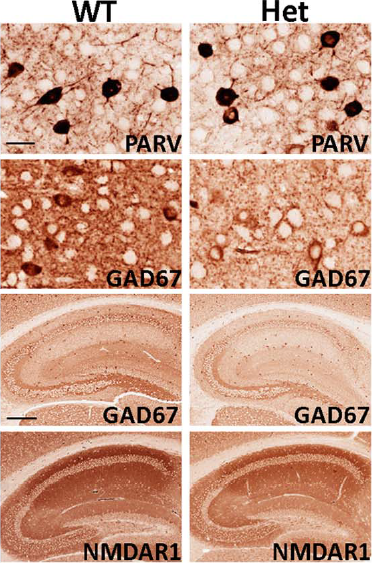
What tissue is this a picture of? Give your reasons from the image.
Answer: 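Hippocampus. The lower two rows show a low-magnification brain section with curved, interlocking C-shaped cell bands. The banded layers have the typical outline of the dentate gyrus and cornu ammonis.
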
